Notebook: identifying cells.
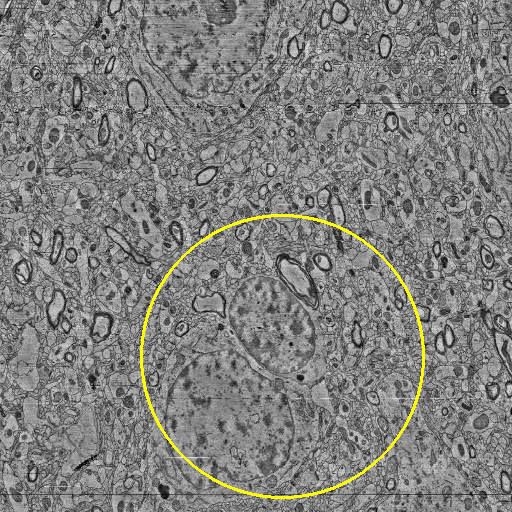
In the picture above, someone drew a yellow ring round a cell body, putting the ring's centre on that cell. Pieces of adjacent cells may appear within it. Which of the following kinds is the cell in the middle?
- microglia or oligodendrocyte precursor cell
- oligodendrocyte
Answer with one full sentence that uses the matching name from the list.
In this picture, the yellow ring is centred on the body of an oligodendrocyte.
